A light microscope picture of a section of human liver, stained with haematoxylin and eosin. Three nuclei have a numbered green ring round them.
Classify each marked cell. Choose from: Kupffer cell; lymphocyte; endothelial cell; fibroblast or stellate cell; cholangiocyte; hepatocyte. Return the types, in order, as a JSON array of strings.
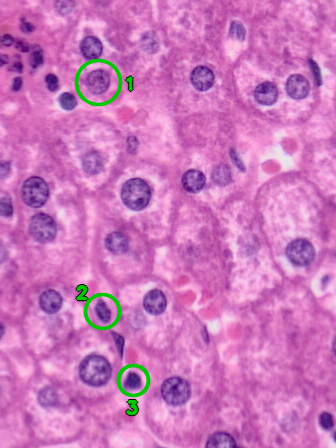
["hepatocyte", "lymphocyte", "lymphocyte"]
